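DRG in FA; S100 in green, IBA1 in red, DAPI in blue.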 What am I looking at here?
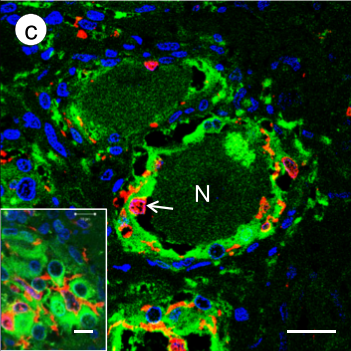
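This shows a large ganglion nerve cell body with faint green cytoplasm, surrounded by a layer of green satellite cells whose outline is uneven, thick in some places and thin in others. Many blue nuclei crowd around the neuron and in the tissue between neurons. Small red cells lie along the rim, and one, at the arrow, is pressed right against the neuron's surface. The inset shows a cluster of cells with green cytoplasm, among which red cells with thin processes weave.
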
